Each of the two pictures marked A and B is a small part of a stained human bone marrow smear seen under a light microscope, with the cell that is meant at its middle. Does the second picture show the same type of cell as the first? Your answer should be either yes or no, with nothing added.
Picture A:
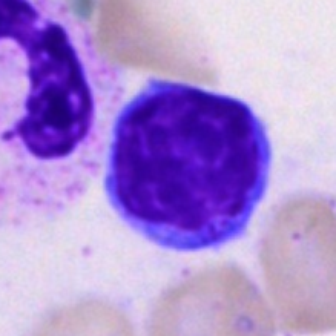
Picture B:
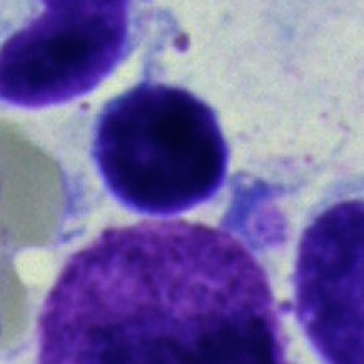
yes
